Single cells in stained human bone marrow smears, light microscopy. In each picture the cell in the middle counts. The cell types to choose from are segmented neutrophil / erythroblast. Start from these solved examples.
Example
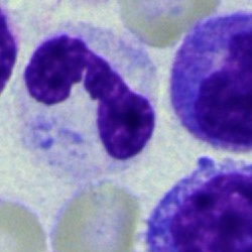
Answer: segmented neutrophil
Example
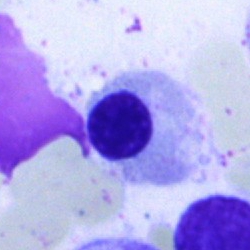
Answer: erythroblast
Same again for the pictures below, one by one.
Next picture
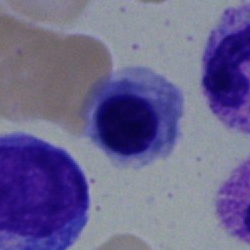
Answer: erythroblast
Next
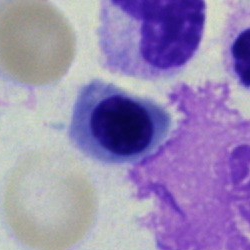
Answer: erythroblast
